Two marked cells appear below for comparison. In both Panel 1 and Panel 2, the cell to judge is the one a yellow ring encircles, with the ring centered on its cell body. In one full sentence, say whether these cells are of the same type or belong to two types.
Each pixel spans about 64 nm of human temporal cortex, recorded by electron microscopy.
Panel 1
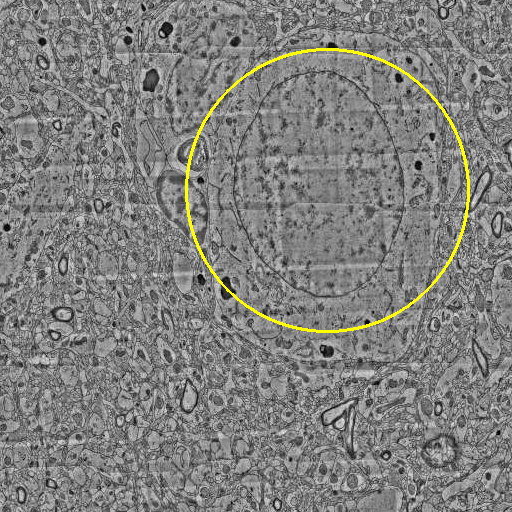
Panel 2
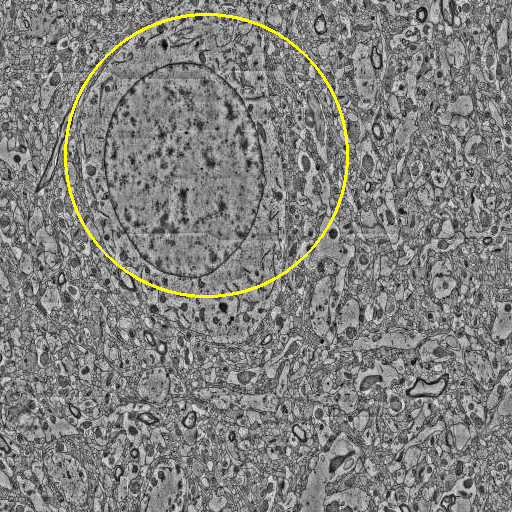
The cell centered in the Panel 1 ring and the one in Panel 2 are of the same type.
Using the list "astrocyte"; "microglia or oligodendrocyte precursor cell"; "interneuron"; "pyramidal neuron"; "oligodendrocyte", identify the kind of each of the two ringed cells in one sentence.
Both the first and the second picture show a pyramidal neuron in the ring.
